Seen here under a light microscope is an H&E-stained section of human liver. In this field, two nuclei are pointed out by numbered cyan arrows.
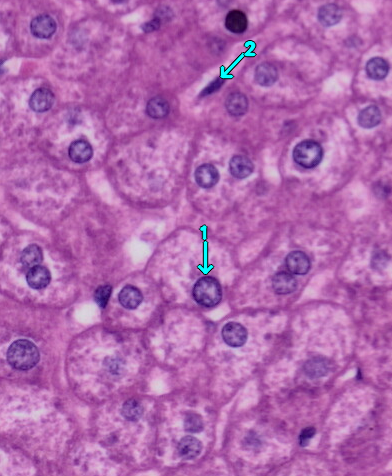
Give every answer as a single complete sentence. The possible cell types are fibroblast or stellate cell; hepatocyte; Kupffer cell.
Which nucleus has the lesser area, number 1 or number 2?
With nucleus 1 about 2.5 times its size, nucleus 2 is the smaller of the two.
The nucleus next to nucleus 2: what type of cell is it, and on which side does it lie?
The nearest one is a hepatocyte, found below and to the right of nucleus 2.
